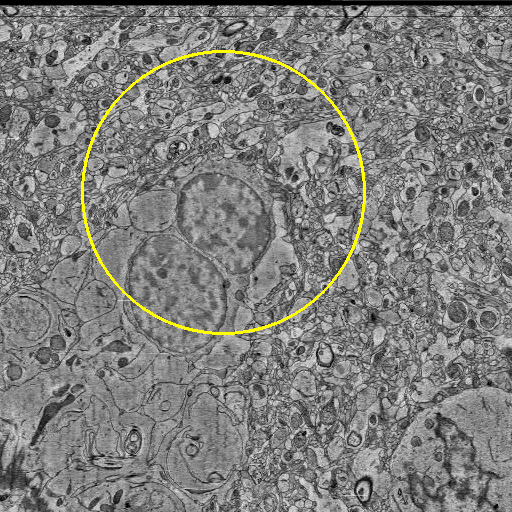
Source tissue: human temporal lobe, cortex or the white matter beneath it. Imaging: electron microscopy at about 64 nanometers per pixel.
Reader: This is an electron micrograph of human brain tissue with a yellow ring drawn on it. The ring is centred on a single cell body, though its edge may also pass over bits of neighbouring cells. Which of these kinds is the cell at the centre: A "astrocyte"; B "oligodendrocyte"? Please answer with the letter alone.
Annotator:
B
